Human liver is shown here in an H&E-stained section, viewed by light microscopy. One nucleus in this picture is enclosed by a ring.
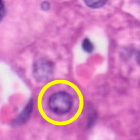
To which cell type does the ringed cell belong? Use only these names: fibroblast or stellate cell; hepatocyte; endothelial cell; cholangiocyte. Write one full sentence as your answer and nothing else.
In cellular terms, the ringed cell is a hepatocyte.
